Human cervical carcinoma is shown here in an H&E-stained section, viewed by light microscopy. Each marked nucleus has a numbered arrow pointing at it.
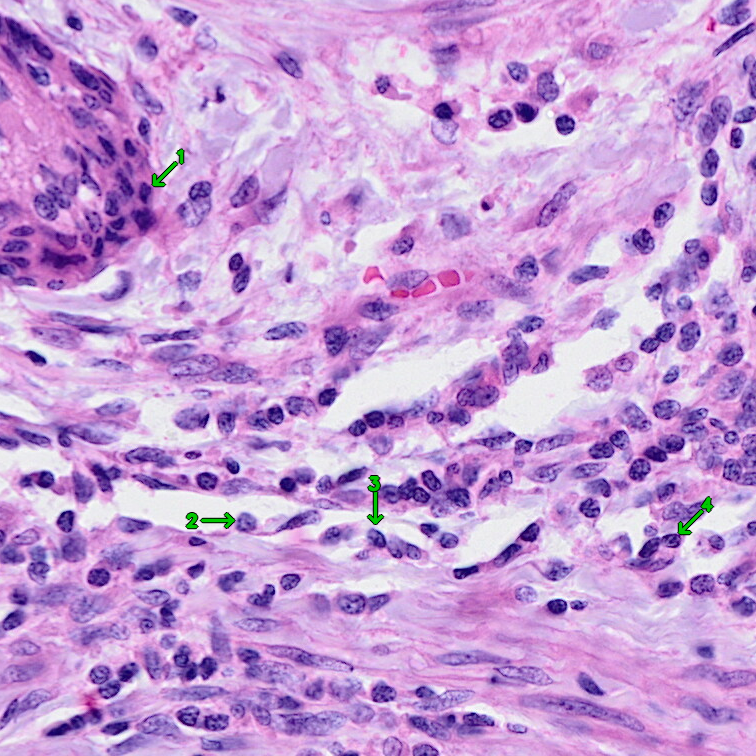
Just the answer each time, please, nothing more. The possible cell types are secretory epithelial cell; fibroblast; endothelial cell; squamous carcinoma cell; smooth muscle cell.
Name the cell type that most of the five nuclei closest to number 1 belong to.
squamous carcinoma cell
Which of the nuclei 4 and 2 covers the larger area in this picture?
2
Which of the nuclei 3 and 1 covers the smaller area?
1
